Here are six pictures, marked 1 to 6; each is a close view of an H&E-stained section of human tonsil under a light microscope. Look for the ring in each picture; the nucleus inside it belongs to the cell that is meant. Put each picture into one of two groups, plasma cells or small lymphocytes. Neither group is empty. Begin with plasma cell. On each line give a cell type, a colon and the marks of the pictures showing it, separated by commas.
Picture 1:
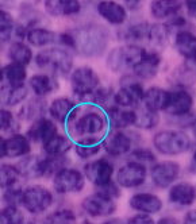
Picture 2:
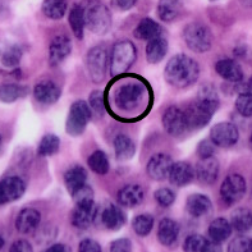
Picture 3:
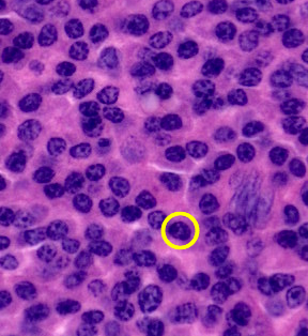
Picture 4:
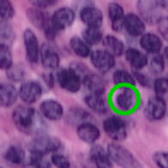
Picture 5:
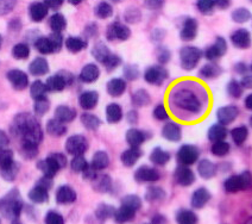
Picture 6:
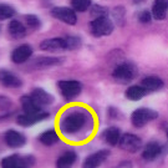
plasma cell: 2, 3, 5, 6
small lymphocyte: 1, 4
